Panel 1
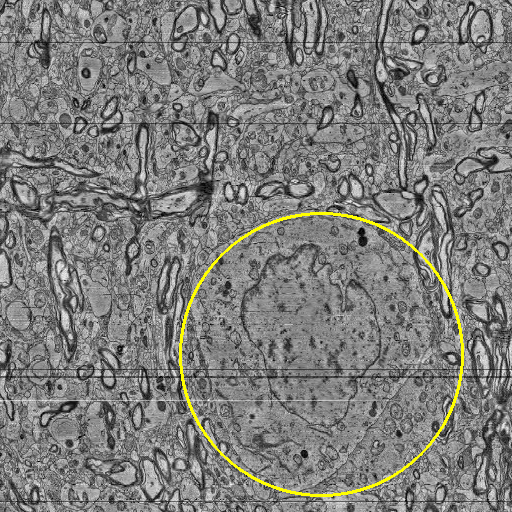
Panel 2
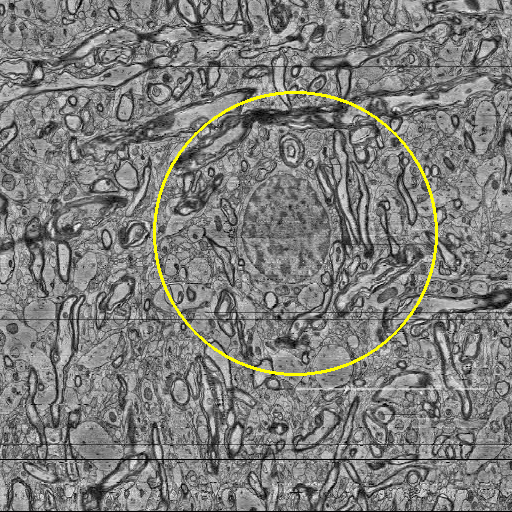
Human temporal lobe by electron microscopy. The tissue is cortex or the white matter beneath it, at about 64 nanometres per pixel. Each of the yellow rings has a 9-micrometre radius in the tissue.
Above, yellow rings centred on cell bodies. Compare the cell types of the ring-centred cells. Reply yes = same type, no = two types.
no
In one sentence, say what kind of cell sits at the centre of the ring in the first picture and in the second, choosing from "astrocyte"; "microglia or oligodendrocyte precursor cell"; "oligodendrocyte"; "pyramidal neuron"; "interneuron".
The first picture's ringed cell is a pyramidal neuron, while the second picture's is an oligodendrocyte.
